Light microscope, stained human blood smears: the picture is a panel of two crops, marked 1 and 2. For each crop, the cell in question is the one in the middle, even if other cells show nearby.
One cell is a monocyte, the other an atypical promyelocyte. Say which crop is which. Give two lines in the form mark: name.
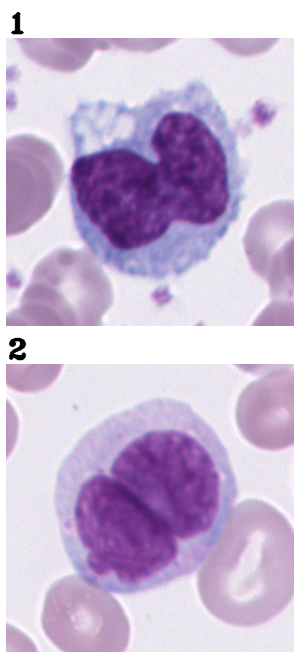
1: monocyte
2: atypical promyelocyte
